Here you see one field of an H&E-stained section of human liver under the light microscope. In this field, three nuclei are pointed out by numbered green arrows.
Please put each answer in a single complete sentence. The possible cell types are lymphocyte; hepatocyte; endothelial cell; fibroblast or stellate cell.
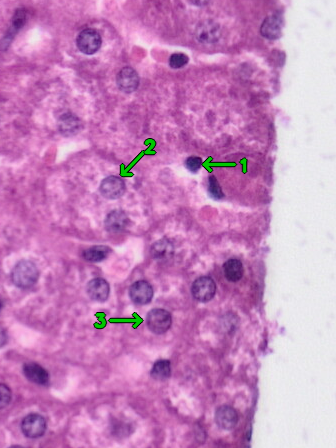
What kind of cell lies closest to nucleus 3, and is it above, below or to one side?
A hepatocyte lies closest, above and to the left of nucleus 3.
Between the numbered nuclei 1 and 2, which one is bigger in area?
Nucleus 2 is larger, with an area about 2.5 times that of nucleus 1.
